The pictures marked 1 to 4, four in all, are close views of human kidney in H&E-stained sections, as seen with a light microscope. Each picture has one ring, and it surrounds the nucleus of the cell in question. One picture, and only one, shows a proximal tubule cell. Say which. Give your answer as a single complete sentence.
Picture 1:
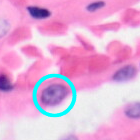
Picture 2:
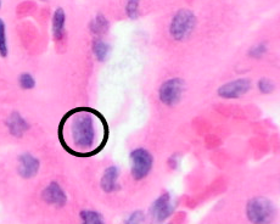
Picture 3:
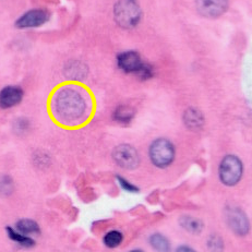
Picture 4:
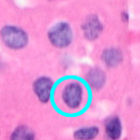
The picture with the proximal tubule cell is 3.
